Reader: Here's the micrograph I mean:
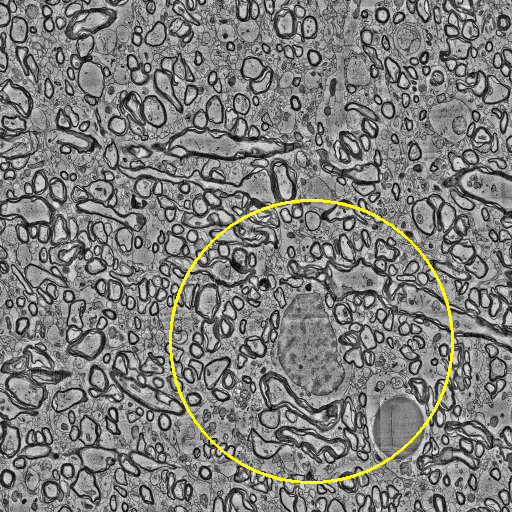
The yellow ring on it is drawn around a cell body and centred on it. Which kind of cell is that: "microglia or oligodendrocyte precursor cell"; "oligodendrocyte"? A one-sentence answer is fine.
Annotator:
The ring is centred on an oligodendrocyte.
